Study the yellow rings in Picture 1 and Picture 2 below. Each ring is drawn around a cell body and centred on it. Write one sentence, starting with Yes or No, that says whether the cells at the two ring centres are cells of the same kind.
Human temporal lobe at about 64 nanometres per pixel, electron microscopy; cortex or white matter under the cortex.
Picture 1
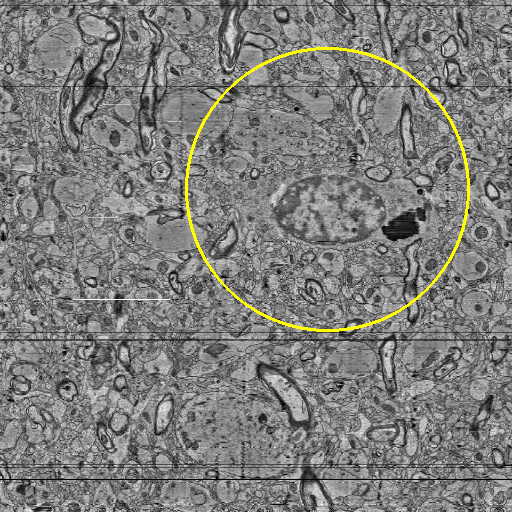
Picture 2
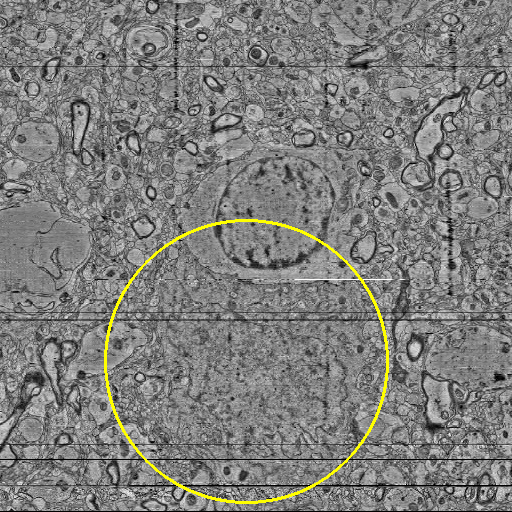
No, the cells at the ring centres are of two kinds.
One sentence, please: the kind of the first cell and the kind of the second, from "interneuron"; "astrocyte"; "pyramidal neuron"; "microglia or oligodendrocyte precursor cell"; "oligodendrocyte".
The ring in the first picture surrounds an oligodendrocyte, and the ring in the second surrounds a pyramidal neuron.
